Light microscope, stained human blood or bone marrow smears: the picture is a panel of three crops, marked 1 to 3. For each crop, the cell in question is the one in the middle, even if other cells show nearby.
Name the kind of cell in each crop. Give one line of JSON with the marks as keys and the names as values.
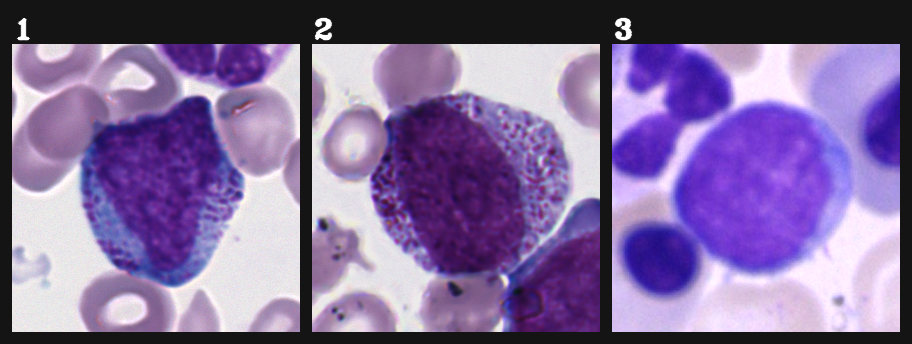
{"1": "promyelocyte", "2": "promyelocyte", "3": "blast"}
